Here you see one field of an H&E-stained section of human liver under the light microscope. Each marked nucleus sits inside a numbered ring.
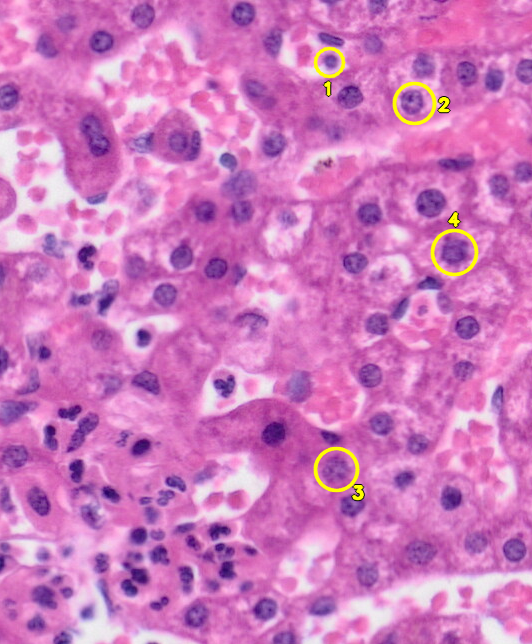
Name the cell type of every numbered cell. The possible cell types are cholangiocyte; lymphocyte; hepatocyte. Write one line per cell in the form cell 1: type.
cell 1: lymphocyte
cell 2: hepatocyte
cell 3: hepatocyte
cell 4: hepatocyte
